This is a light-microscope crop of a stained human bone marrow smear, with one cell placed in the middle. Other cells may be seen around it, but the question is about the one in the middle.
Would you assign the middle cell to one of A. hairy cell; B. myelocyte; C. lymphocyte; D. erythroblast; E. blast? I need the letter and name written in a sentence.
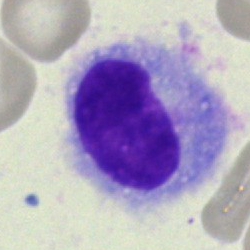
In this crop the middle cell is a hairy cell, so option A is the correct answer.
